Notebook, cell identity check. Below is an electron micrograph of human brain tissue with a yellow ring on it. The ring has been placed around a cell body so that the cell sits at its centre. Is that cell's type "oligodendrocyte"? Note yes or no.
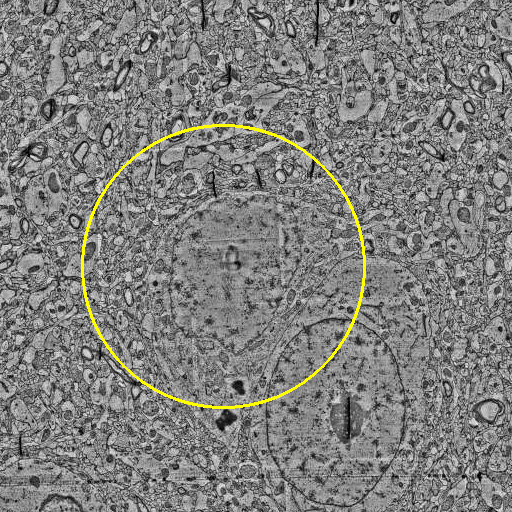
No, its cell type is another one.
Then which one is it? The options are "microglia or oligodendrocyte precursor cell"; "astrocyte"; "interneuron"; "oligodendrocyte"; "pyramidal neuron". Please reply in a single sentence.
The cell this ring marks is an interneuron.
